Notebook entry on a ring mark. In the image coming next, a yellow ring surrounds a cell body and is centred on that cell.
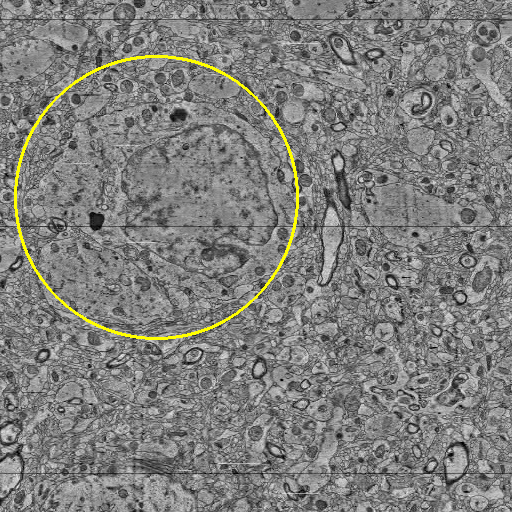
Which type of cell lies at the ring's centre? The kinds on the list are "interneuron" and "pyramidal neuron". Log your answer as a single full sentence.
Centred in the yellow ring is an interneuron, the cell recorded for this image.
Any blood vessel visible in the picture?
No.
